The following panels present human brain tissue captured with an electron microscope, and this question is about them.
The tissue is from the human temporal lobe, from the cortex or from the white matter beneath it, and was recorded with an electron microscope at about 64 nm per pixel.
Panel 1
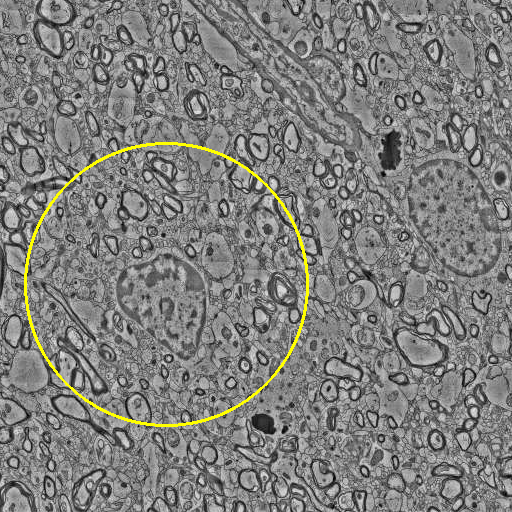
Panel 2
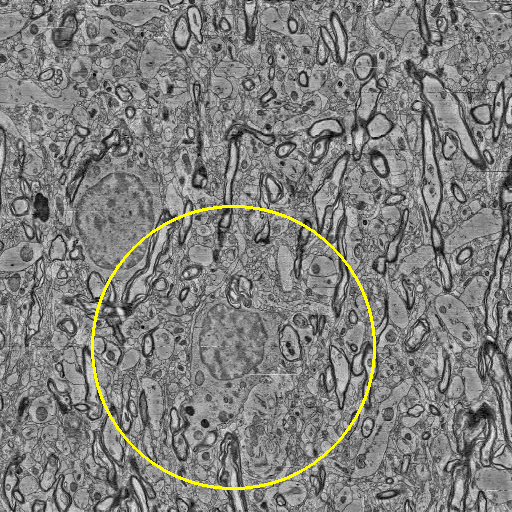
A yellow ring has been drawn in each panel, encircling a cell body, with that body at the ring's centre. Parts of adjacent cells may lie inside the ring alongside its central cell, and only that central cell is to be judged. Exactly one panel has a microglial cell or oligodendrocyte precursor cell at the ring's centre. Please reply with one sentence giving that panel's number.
The ring whose central cell fits the description is the one in panel 1.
